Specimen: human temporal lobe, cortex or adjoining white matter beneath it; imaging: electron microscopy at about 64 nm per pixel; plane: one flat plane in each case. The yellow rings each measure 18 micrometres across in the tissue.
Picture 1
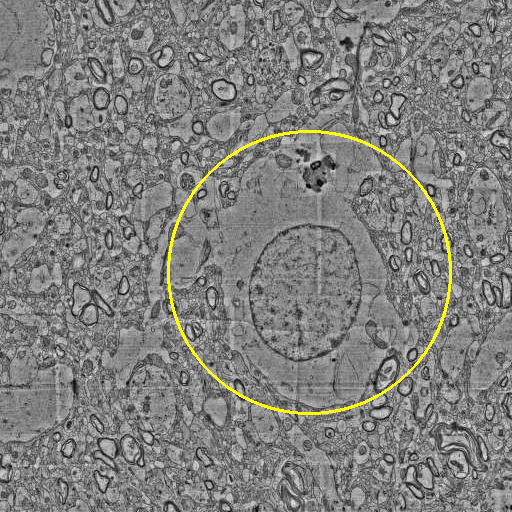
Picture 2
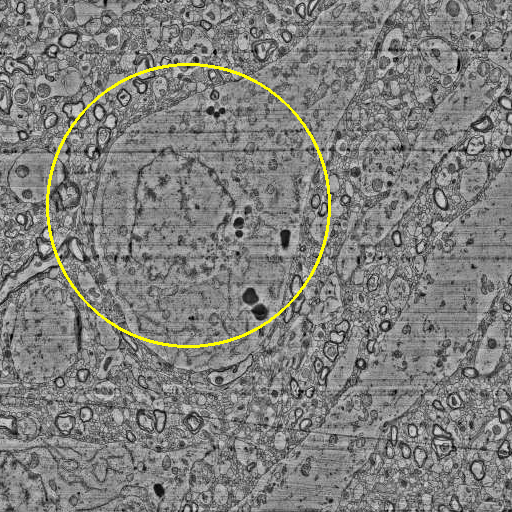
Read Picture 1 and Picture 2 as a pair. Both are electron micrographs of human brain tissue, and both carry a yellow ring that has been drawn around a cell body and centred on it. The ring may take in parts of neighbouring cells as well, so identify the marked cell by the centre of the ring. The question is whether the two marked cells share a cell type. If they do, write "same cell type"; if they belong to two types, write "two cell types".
two cell types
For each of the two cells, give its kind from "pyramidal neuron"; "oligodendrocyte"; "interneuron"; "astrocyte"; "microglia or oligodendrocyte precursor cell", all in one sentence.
The first picture has an astrocyte in its ring, the second has a pyramidal neuron.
